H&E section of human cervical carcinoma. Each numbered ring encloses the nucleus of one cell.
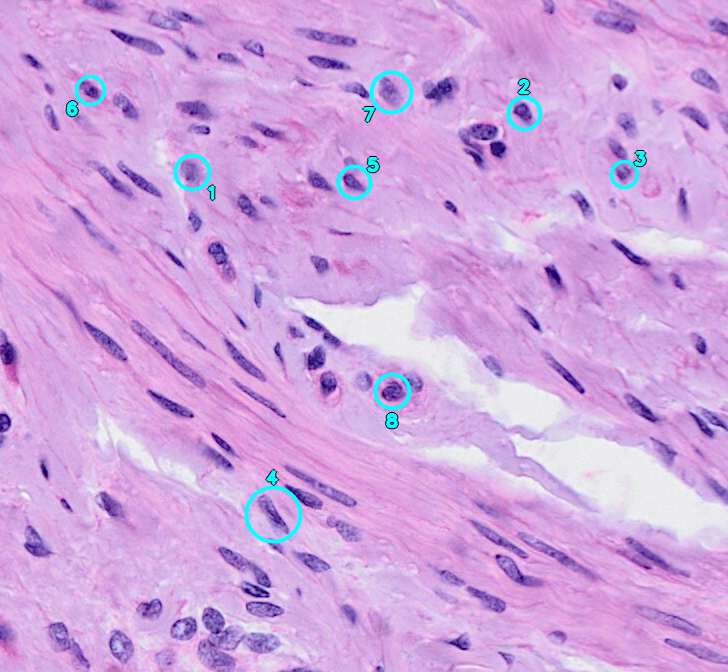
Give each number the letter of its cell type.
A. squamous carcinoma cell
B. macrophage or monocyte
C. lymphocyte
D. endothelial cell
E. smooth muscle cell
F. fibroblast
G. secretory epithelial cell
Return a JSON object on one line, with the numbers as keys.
{"1": "F", "2": "F", "3": "E", "4": "F", "5": "F", "6": "E", "7": "F", "8": "D"}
